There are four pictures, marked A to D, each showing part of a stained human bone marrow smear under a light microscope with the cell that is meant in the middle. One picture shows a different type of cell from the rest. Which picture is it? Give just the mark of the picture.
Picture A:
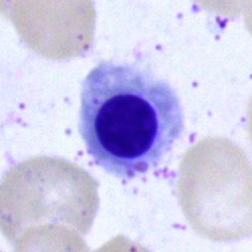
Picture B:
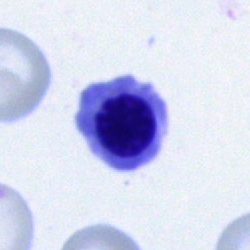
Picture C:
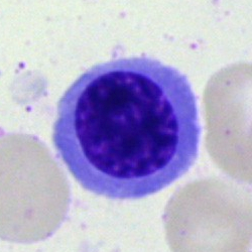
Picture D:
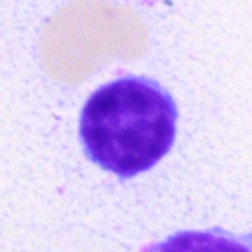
D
